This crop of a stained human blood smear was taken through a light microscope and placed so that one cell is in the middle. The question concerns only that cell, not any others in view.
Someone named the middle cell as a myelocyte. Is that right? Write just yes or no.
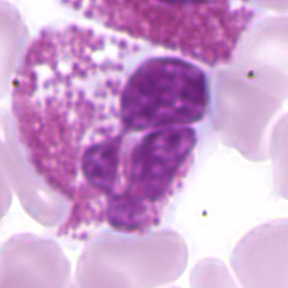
no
